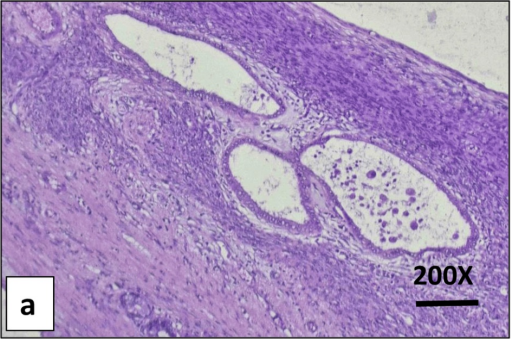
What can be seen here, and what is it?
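Cyst wall with several pale cystic spaces lined by a single layer of low columnar to cuboidal epithelial cells with small basal purple nuclei. One lumen holds scattered rounded purple globules and debris. The lining sits on a densely cellular stroma of spindle cells with elongated dark nuclei that surrounds the spaces and is thicker toward the upper right. At the lower left lies paler pink, less cellular fibrous tissue.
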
